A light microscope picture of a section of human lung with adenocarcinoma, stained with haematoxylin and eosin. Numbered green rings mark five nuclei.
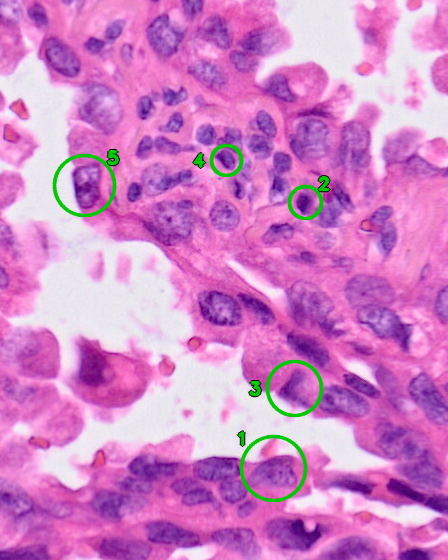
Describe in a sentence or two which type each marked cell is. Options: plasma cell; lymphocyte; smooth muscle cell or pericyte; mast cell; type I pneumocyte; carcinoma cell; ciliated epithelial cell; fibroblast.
Cells 1, 3 and 5 are carcinoma cells. Cells 2 and 4 are lymphocytes.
